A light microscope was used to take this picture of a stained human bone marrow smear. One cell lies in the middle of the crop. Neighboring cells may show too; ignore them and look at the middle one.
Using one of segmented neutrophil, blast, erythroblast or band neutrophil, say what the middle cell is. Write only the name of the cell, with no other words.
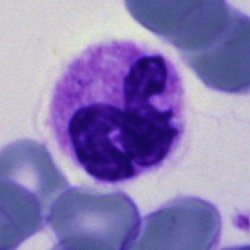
segmented neutrophil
